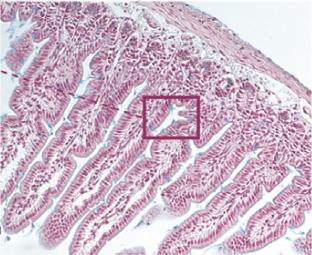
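This is a section of intestinal wall in which many slender villi run in parallel toward the lumen, separated by narrow clefts, each lined by pink columnar epithelium. The villi appear crowded and thin, with little open lumen between them. Along the upper right edge runs a pink band of the outer muscular wall. A red box marks a region of the lining where blue goblet cells face a narrow gap.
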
